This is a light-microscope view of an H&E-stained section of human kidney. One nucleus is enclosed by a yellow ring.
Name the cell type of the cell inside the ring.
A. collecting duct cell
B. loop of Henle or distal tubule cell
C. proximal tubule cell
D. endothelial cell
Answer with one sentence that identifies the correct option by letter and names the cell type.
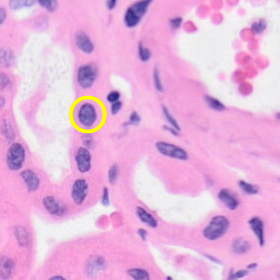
The choice that fits is option A, as the cell inside the ring is a collecting duct cell.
